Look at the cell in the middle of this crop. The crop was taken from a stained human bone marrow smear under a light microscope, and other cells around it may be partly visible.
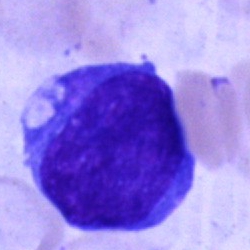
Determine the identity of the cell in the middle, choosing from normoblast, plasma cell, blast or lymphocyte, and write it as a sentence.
Standing at the centre of this crop is a blast.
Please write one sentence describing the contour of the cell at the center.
Irregular rather than smooth, the cell margin shows ragged areas or projections.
